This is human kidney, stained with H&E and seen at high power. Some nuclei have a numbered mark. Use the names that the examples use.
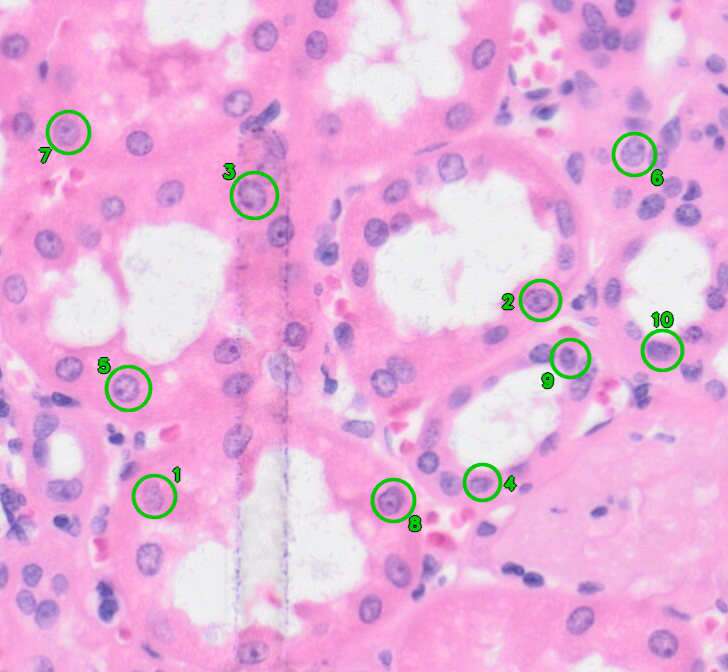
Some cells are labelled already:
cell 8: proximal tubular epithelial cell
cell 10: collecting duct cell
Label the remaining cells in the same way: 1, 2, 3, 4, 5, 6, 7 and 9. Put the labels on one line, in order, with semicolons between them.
proximal tubular epithelial cell; proximal tubular epithelial cell; proximal tubular epithelial cell; collecting duct cell; proximal tubular epithelial cell; collecting duct cell; proximal tubular epithelial cell; collecting duct cell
